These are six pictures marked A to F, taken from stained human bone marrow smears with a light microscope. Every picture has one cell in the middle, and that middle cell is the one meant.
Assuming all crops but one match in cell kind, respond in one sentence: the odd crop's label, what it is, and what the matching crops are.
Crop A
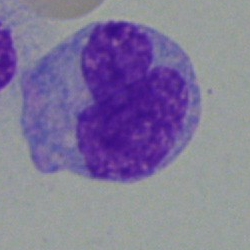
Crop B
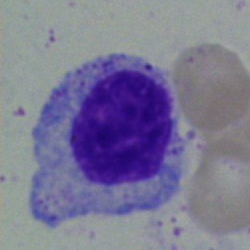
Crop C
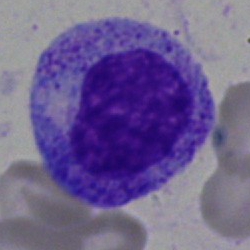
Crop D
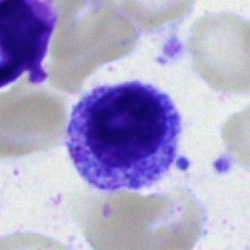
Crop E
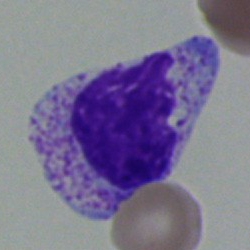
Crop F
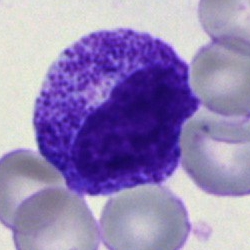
Crop A shows a monocyte; by contrast, all the other crops show myelocytes.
